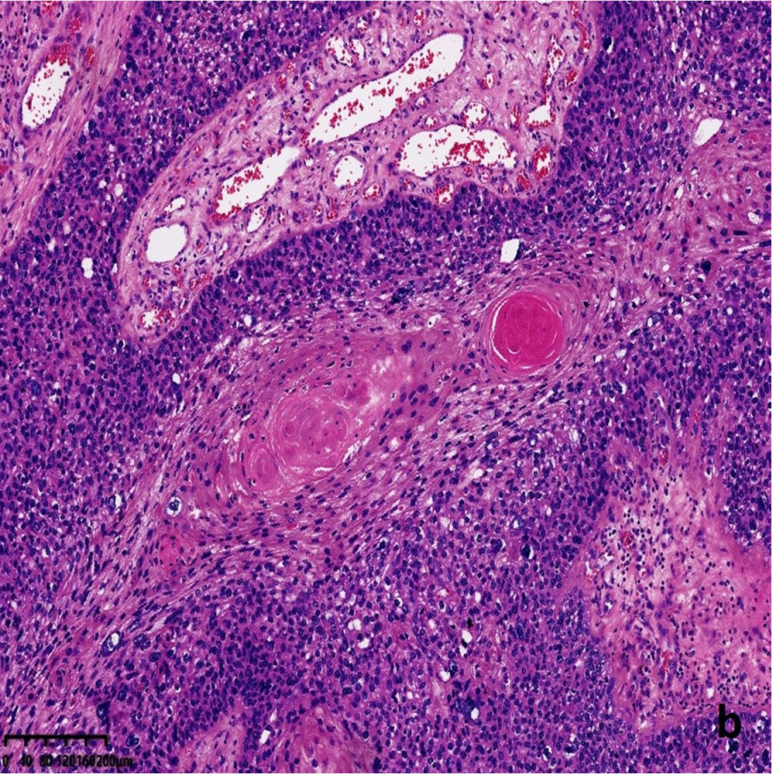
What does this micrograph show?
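Sheets and nests of crowded tumor cells with dark purple, enlarged nuclei and pink cytoplasm fill most of the field, separated by paler pink bands of stroma. Within the cell masses, round bright pink bodies with concentric, onion-skin layering of keratinized cells form keratin pearls, surrounded by flattened cells with more abundant pink cytoplasm. The stroma at the top carries thin-walled blood vessels filled with red blood cells, and small dark cells are scattered among the stromal fibres. This is the picture of an invasive, keratinizing squamous cell carcinoma.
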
